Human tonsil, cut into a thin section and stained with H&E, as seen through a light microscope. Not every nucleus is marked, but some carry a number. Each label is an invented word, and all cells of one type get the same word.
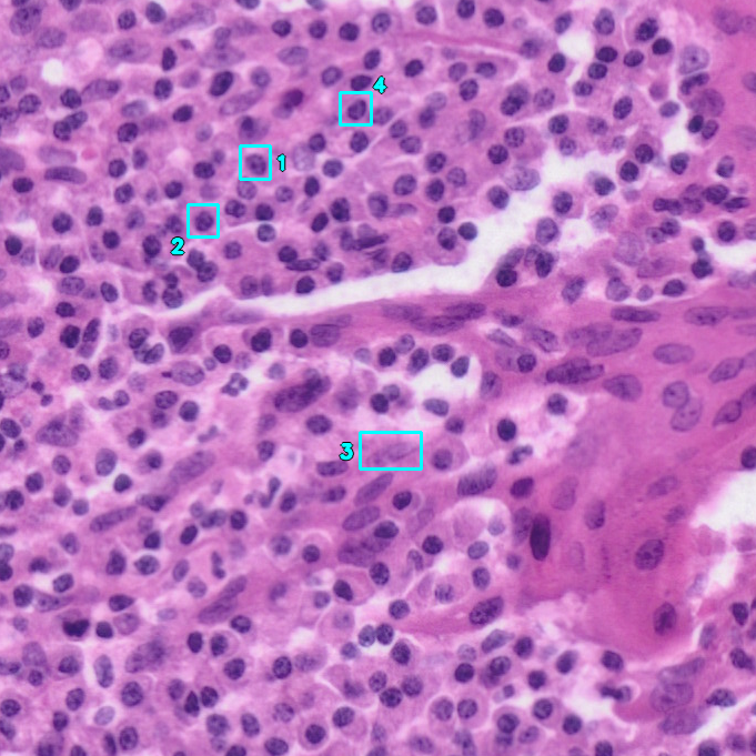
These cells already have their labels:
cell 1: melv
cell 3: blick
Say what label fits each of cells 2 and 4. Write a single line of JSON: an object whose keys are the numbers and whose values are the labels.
{"2": "melv", "4": "melv"}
